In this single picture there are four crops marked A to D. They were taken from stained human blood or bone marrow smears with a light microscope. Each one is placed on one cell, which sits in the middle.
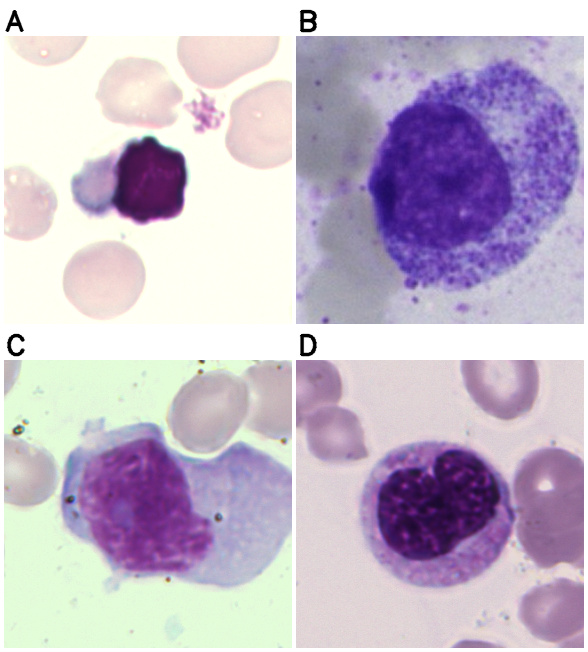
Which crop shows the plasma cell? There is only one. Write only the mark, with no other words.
C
